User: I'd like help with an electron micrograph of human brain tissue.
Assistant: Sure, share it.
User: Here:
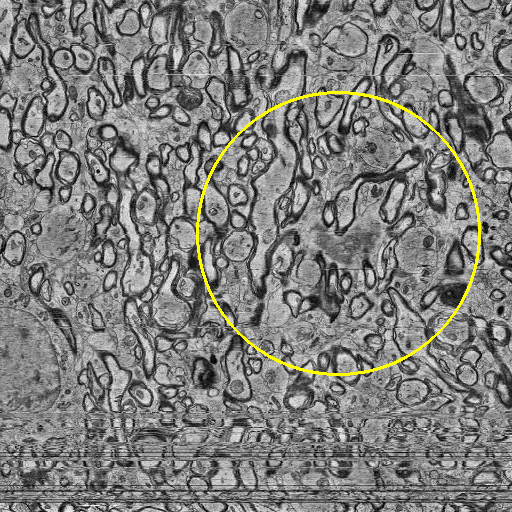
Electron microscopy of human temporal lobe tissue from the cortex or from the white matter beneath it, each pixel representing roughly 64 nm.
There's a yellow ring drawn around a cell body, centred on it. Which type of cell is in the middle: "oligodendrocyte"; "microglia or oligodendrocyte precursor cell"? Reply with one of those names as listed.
oligodendrocyte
